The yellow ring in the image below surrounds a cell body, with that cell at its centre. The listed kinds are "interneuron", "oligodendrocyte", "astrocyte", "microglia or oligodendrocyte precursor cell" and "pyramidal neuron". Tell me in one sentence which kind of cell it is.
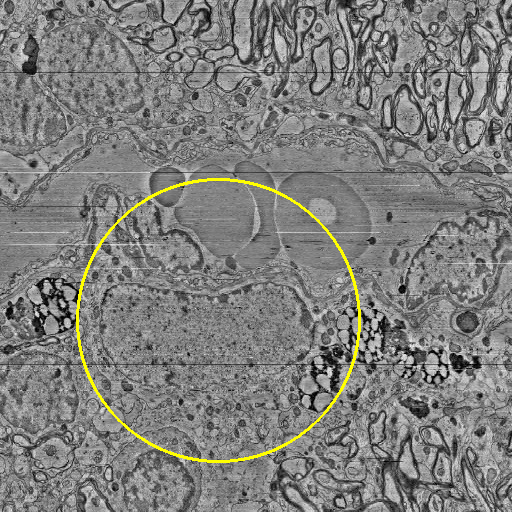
The centre of the ring holds an astrocyte.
